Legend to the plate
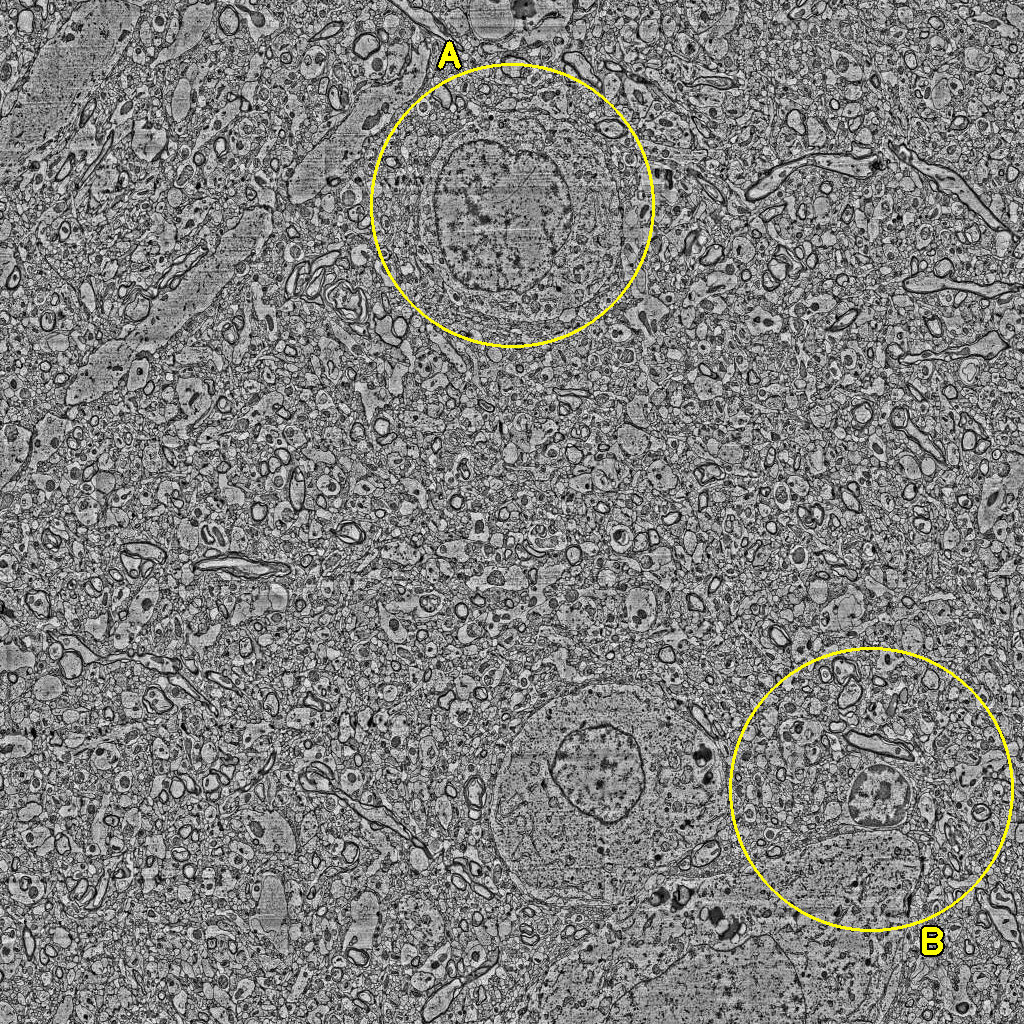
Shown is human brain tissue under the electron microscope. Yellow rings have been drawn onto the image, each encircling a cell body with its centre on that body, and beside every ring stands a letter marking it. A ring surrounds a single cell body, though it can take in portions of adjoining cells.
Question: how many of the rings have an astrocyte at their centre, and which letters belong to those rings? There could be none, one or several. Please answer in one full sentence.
None of the rings picks out an astrocyte as its centre, so the count is zero.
